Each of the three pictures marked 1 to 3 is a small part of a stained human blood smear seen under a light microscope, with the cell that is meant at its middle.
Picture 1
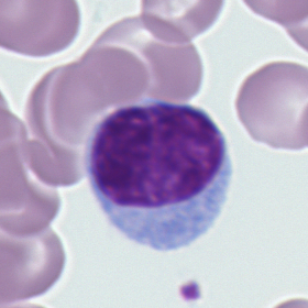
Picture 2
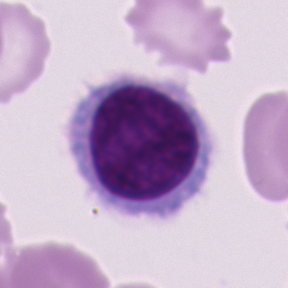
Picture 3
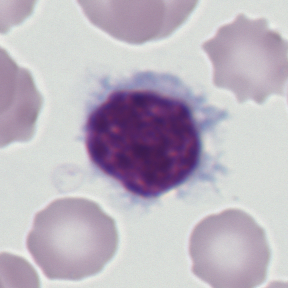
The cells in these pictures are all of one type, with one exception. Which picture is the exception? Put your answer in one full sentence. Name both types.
Picture 1 is the odd one out: it shows a typical lymphocyte, while the others show hairy cells.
